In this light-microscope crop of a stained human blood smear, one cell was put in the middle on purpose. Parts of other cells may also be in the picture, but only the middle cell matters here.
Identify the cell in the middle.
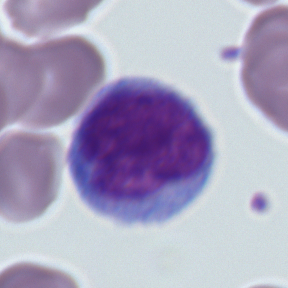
monocyte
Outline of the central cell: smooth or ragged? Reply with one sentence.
Edge check done: smooth outline, no projections present.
